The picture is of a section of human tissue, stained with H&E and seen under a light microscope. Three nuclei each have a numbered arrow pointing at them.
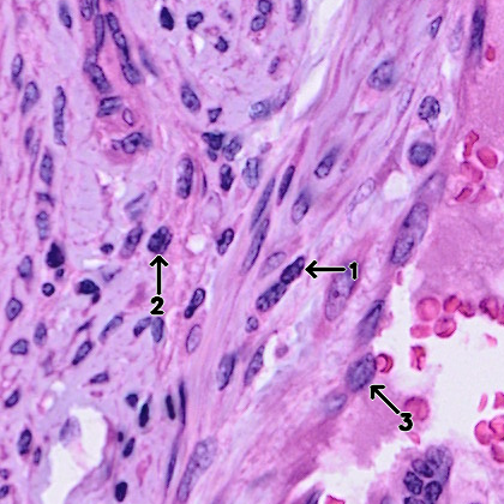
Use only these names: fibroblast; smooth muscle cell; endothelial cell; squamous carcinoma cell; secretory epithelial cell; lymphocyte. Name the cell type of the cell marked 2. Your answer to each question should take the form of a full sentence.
In this section, number 2 marks a lymphocyte.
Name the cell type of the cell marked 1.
Marked with the number 1, this cell is a lymphocyte.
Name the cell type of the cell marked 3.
Number 3 is placed on an endothelial cell here.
